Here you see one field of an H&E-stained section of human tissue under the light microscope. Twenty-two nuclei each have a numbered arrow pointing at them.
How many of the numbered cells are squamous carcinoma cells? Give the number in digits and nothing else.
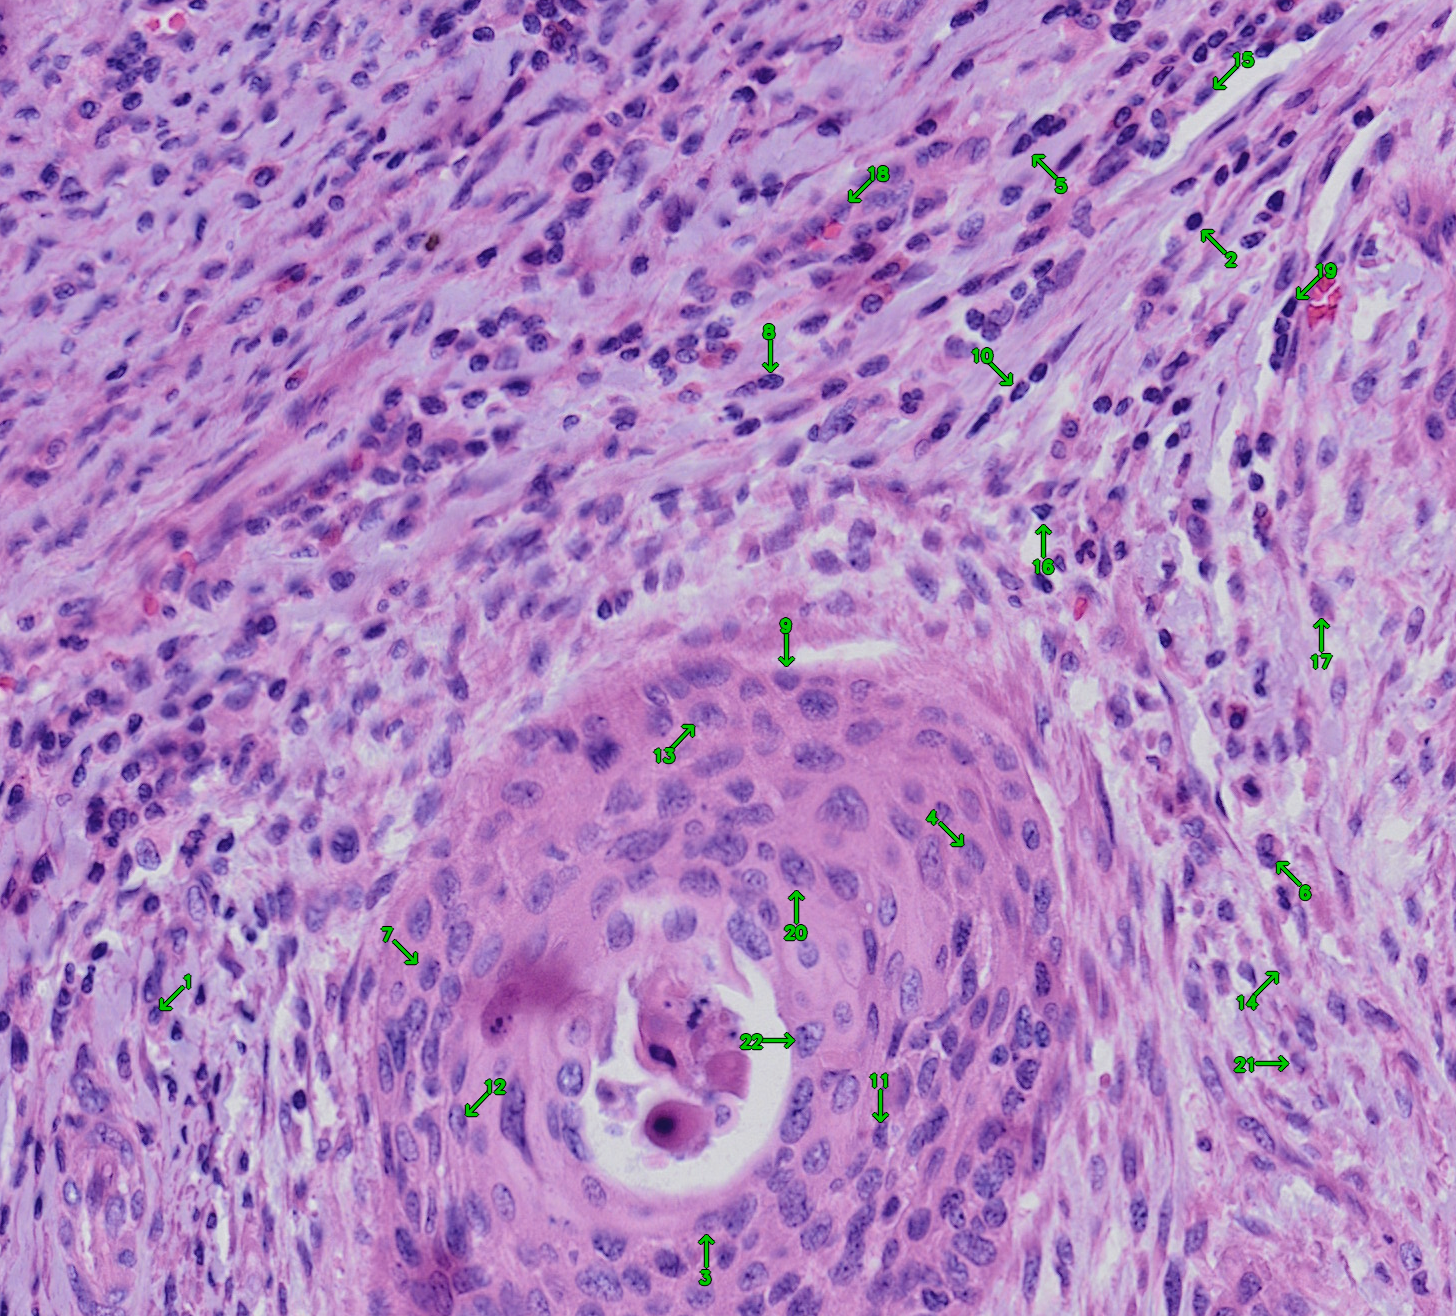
9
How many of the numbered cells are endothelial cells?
2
